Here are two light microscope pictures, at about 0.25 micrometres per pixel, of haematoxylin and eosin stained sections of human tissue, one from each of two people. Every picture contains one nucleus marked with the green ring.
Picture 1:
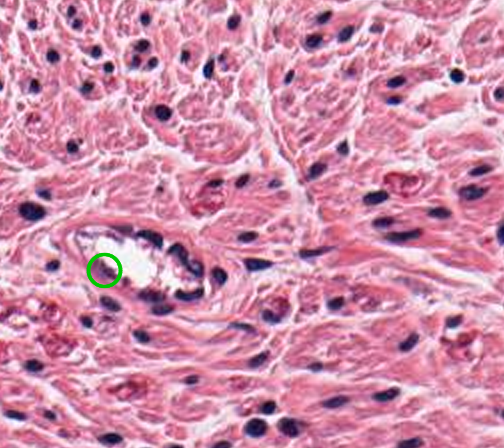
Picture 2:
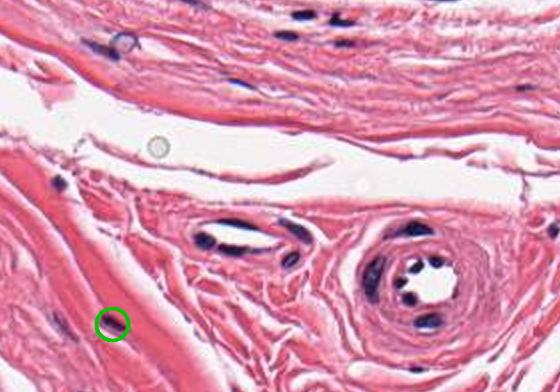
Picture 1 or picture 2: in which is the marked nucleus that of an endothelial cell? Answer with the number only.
1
